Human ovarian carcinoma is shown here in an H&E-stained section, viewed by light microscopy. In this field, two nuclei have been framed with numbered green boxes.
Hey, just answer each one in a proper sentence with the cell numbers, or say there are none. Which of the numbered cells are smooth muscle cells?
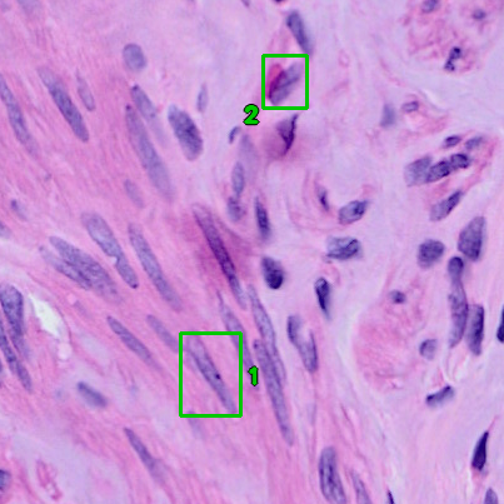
Of all the numbered cells, only one is a smooth muscle cell, and that is cell 1.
